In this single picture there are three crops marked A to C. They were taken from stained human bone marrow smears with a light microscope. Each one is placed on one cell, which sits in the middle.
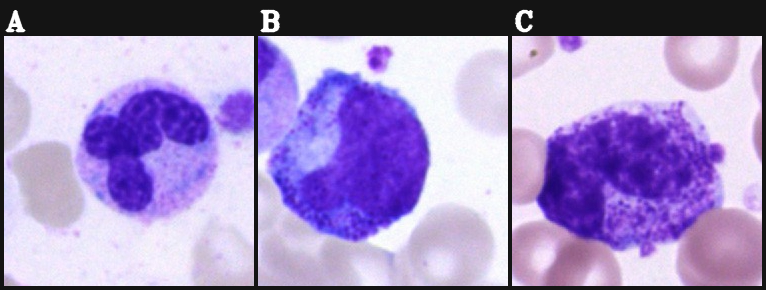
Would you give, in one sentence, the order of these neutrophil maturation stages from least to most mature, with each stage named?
Taken from least mature to most mature, the crops are crop B (a promyelocyte), crop C (a metamyelocyte) and crop A (a segmented neutrophil).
